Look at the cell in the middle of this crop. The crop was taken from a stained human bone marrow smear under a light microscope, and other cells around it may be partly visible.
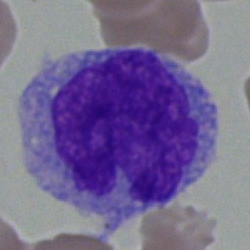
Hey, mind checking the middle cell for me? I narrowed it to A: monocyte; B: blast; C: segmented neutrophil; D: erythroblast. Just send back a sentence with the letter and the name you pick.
For this crop, option A is right, the centered cell being a monocyte.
